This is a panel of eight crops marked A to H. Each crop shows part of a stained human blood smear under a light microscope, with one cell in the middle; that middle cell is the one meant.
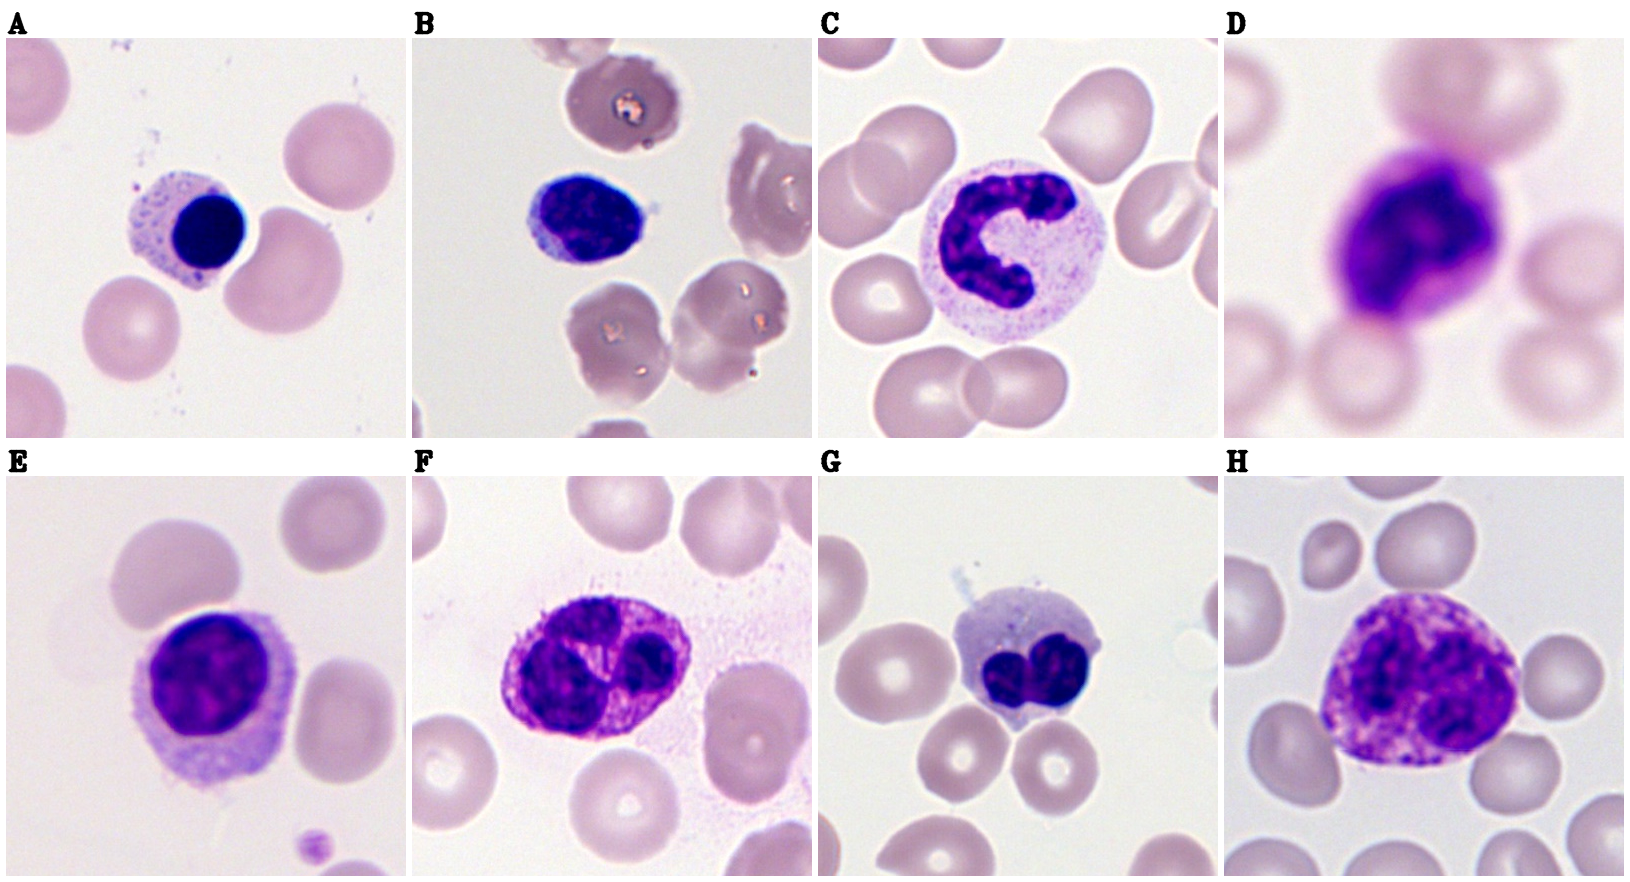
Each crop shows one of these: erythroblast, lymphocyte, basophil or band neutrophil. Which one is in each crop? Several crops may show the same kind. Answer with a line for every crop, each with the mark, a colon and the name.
A: erythroblast
B: lymphocyte
C: band neutrophil
D: basophil
E: lymphocyte
F: basophil
G: erythroblast
H: basophil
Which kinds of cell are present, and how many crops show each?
basophil: 3
erythroblast: 2
lymphocyte: 2
band neutrophil: 1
